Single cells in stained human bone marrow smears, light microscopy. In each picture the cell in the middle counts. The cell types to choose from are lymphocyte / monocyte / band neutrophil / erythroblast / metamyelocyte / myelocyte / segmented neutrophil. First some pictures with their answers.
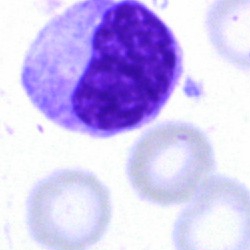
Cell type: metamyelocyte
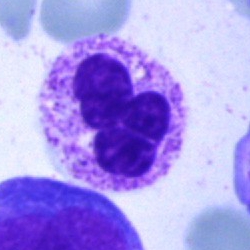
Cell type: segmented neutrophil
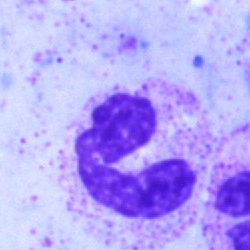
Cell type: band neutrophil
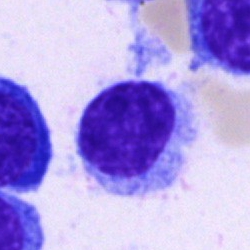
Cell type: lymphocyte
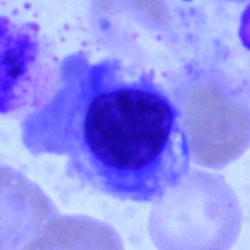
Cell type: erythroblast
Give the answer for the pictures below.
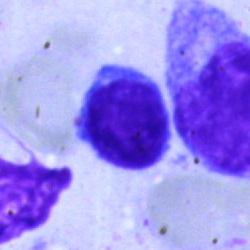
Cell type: lymphocyte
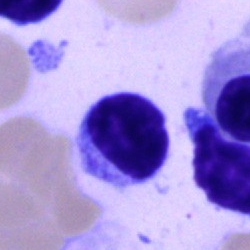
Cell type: lymphocyte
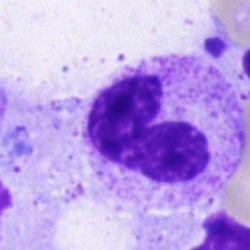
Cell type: band neutrophil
